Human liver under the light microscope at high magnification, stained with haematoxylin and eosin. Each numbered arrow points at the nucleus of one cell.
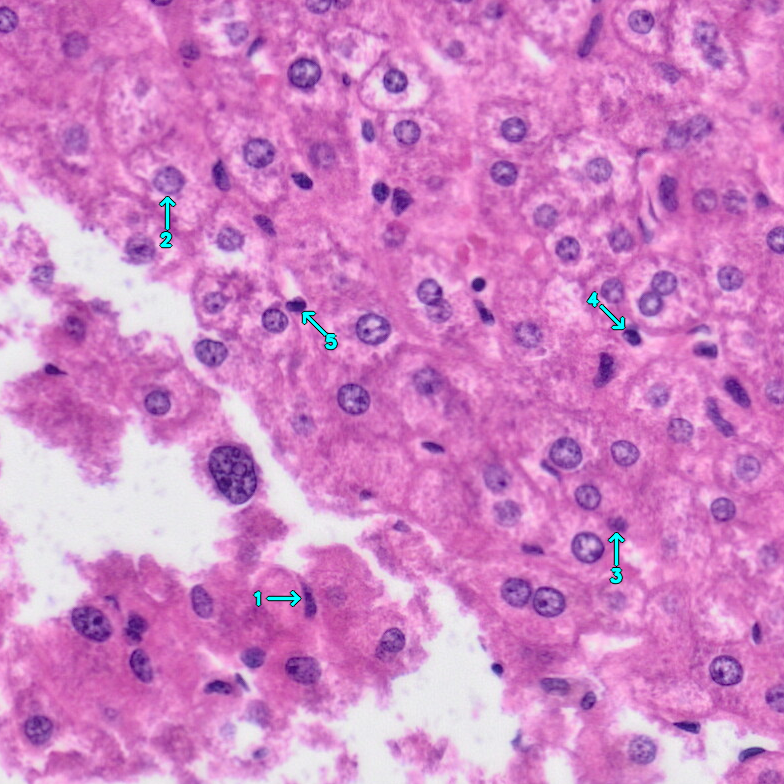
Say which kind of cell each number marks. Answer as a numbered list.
1. fibroblast or stellate cell
2. hepatocyte
3. fibroblast or stellate cell
4. lymphocyte
5. lymphocyte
